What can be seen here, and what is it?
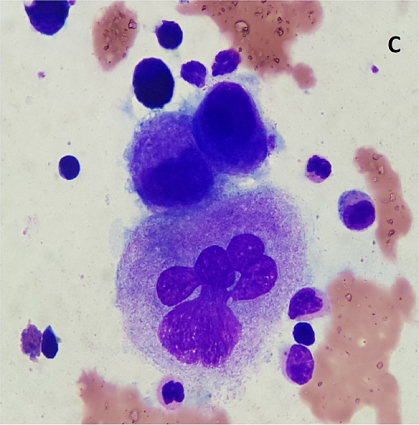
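Bone marrow aspirate with cells of the megakaryocytic line at different maturity. The largest cell has a lobulated, folded nucleus of several rounded lobes and abundant pale lilac, finely granular cytoplasm with an irregular edge.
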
